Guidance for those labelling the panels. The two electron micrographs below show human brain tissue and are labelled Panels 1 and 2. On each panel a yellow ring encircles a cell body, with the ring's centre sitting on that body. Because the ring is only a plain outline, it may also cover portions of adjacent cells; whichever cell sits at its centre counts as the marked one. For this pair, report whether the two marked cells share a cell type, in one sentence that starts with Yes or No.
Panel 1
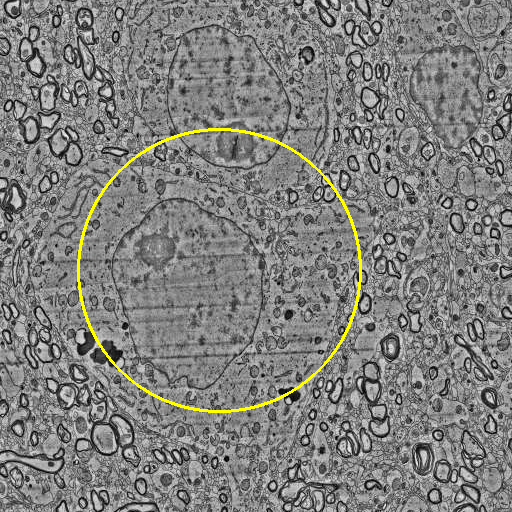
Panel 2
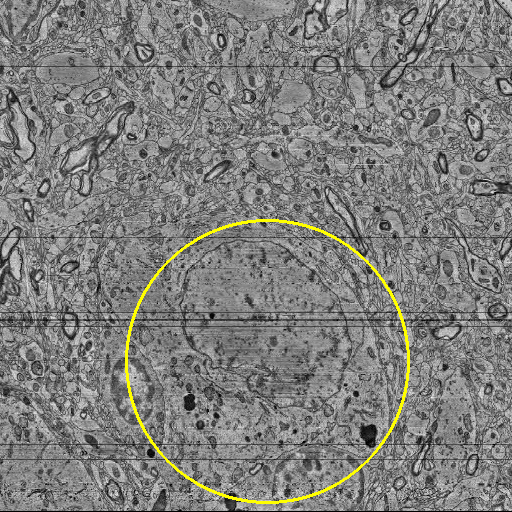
Yes, in Panel 1 and Panel 2 the marked cells at the ring centres share one type.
